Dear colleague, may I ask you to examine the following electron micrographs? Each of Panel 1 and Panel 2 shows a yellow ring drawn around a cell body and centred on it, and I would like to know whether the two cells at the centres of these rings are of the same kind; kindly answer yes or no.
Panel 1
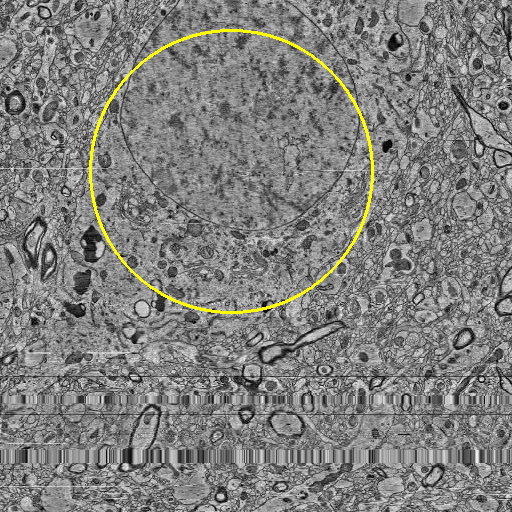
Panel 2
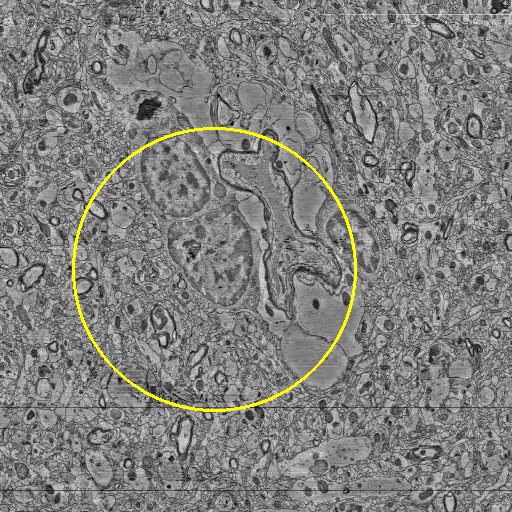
no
